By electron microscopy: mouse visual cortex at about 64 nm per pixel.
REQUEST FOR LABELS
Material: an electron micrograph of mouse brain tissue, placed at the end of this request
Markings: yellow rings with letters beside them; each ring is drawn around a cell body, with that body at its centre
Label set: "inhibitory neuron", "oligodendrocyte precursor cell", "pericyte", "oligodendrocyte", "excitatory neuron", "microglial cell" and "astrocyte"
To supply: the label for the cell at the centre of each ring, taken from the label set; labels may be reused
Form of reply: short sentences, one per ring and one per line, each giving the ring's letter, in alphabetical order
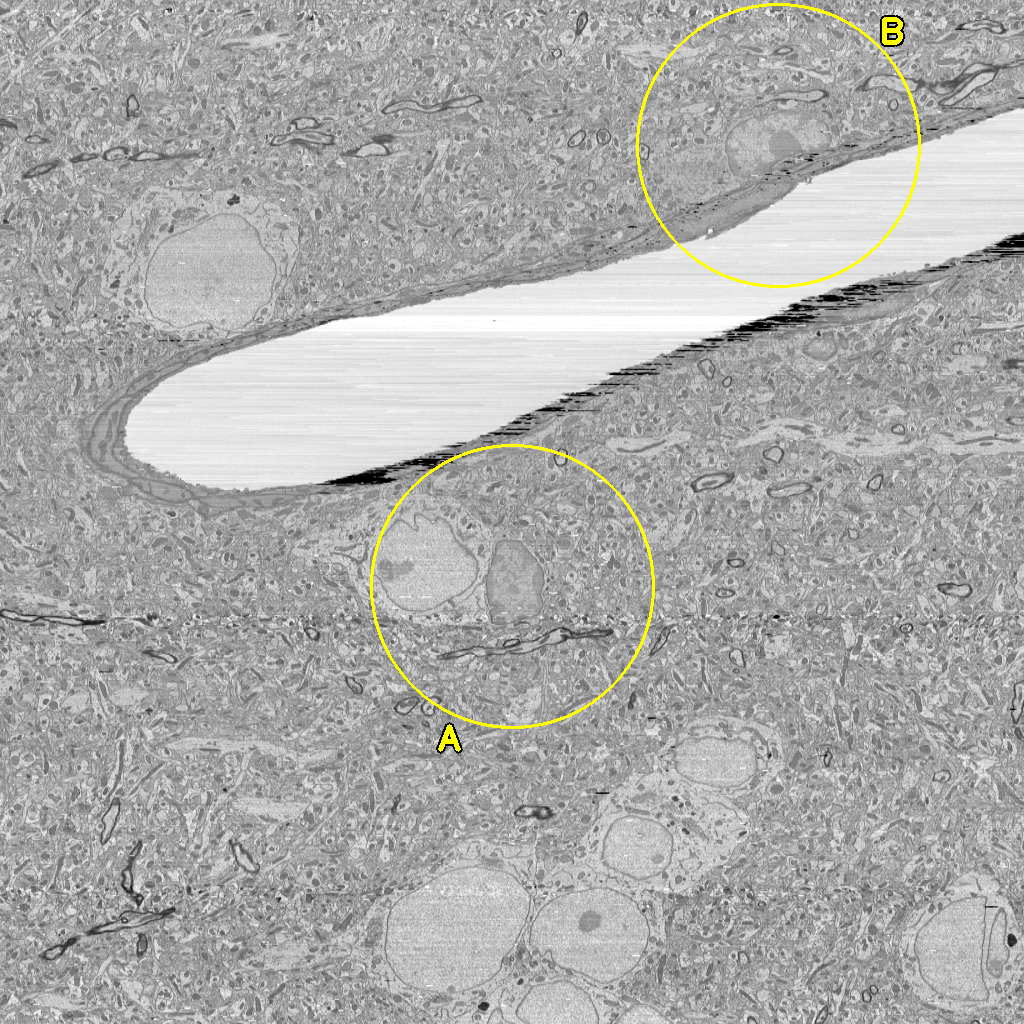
Ring A: the cell in the middle is a microglial cell.
Ring B: the cell in the middle is an oligodendrocyte.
